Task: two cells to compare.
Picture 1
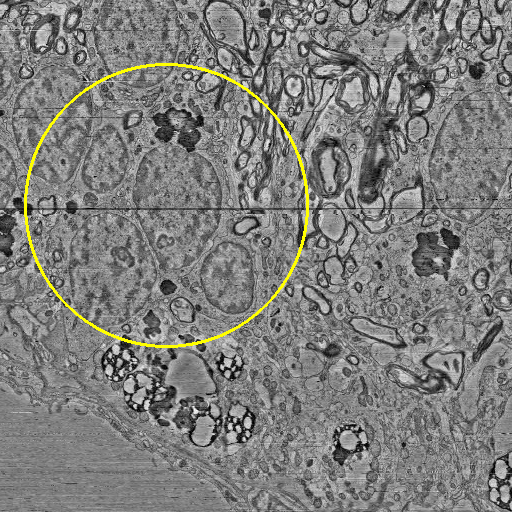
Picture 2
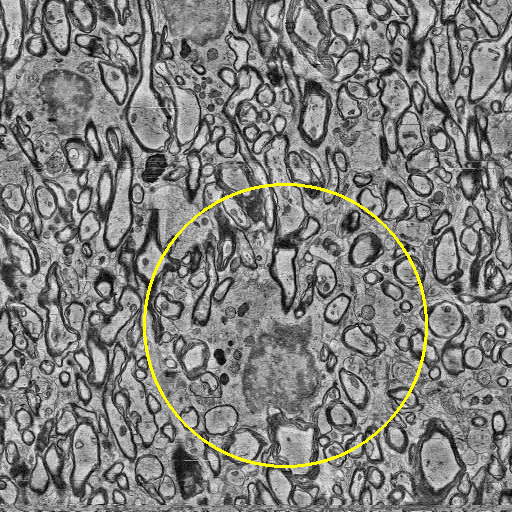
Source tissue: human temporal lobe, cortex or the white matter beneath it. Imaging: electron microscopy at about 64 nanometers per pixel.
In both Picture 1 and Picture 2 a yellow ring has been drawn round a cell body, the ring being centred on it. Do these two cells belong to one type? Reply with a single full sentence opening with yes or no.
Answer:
Yes, the two cells at the ring centres in Picture 1 and Picture 2 share one type.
